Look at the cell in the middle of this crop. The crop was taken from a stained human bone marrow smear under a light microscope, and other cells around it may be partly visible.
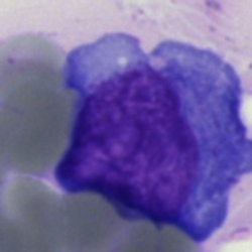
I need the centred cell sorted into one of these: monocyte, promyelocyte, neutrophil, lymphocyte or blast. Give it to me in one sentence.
The single cell at the center of the crop is a blast.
